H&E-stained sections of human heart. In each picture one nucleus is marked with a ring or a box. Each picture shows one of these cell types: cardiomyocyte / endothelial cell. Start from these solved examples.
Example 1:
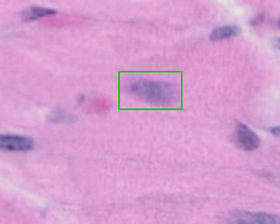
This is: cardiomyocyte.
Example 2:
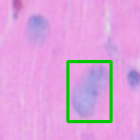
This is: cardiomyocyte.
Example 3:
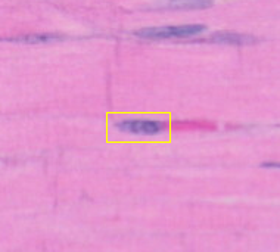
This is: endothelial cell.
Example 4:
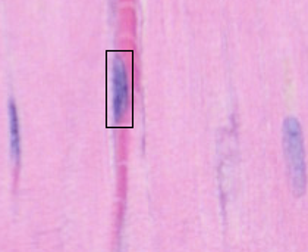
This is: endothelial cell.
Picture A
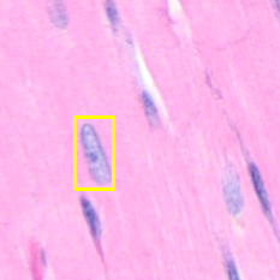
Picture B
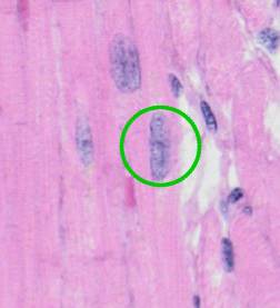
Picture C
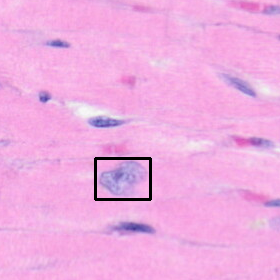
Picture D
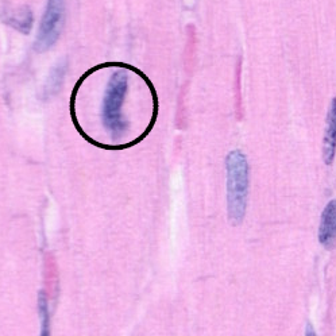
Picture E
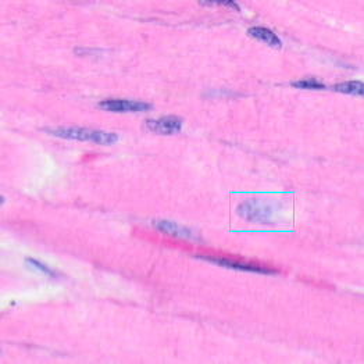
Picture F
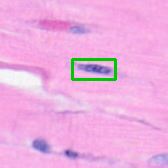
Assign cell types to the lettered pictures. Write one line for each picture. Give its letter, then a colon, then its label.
A: cardiomyocyte.
B: cardiomyocyte.
C: cardiomyocyte.
D: endothelial cell.
E: cardiomyocyte.
F: endothelial cell.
